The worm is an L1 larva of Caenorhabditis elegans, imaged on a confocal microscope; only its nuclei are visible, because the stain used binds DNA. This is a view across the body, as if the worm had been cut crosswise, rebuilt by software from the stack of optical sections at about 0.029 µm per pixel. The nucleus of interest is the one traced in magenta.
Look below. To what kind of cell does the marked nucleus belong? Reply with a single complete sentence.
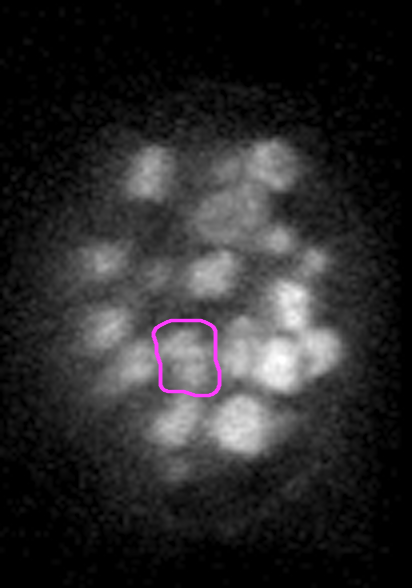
The marked nucleus belongs to a pharyngeal marginal cell.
